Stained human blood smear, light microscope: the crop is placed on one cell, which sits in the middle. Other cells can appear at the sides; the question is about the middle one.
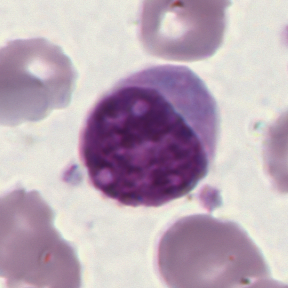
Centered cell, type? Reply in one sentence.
The cell at the heart of this crop is a plasma cell.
